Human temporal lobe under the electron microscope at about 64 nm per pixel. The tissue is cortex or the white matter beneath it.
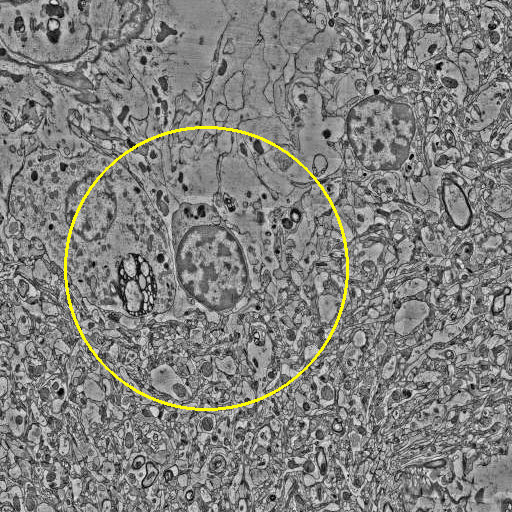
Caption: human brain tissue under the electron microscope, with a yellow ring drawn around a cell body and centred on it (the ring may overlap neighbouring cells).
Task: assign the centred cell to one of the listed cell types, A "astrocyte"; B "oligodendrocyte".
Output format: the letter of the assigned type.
B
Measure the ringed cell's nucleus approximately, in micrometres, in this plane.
About 5 by 4 micrometers, in this plane.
